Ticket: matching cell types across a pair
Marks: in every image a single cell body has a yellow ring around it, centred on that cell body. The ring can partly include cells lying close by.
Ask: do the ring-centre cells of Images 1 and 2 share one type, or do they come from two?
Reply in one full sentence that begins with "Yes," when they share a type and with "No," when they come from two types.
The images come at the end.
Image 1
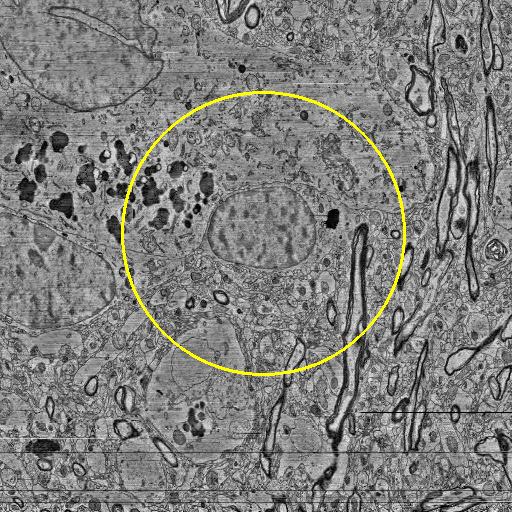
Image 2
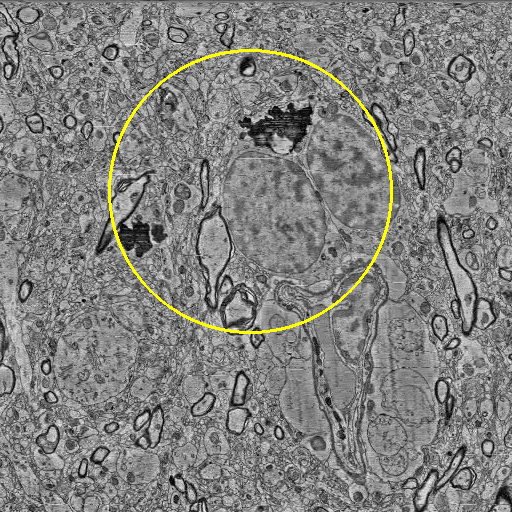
Yes, the cells in the centres of the rings in Image 1 and Image 2 share one type.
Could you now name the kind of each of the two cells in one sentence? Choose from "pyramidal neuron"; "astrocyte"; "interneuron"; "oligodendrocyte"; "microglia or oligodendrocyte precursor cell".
The cell in the first picture is an oligodendrocyte, and so is the one in the second.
